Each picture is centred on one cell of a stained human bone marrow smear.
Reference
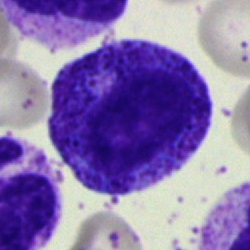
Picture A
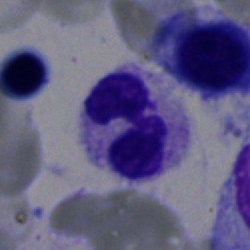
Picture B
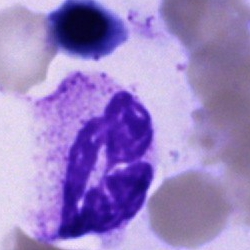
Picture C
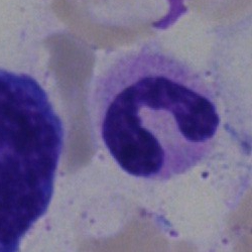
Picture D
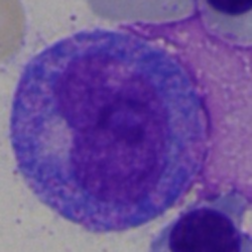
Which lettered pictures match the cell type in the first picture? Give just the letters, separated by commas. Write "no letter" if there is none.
D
